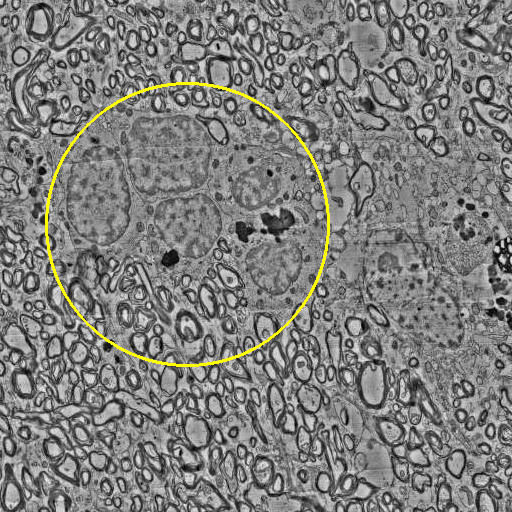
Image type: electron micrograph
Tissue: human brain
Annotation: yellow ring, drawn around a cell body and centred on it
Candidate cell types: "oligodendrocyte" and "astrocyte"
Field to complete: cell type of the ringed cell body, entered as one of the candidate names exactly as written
oligodendrocyte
